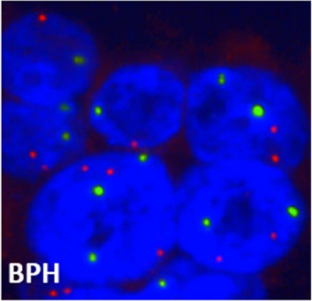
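The red and green dots appear in similar numbers per nucleus, scattered without an obvious pattern. A faint reddish haze lies over parts of the background and nuclei, and a few red dots lie at nuclear edges.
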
